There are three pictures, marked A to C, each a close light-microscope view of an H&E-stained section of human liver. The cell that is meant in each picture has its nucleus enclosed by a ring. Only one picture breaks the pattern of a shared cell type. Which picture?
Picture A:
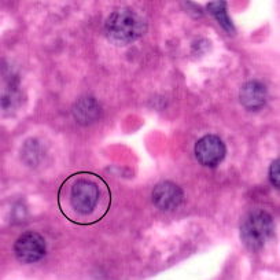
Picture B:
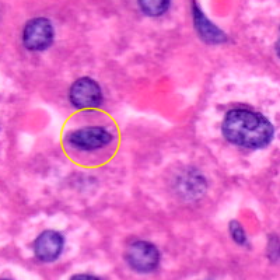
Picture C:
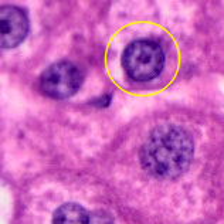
B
